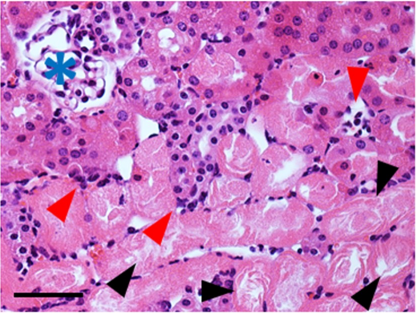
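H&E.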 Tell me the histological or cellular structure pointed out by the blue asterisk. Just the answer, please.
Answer: glomeruli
